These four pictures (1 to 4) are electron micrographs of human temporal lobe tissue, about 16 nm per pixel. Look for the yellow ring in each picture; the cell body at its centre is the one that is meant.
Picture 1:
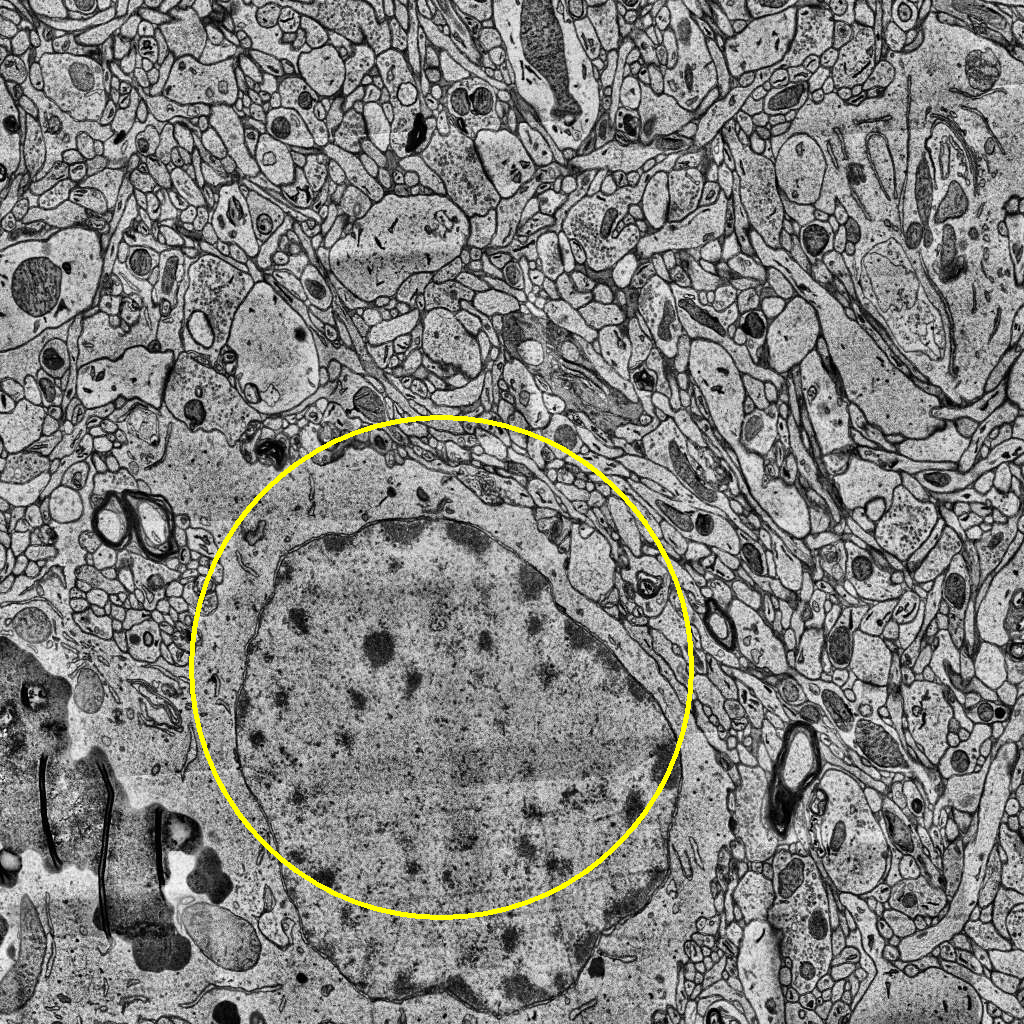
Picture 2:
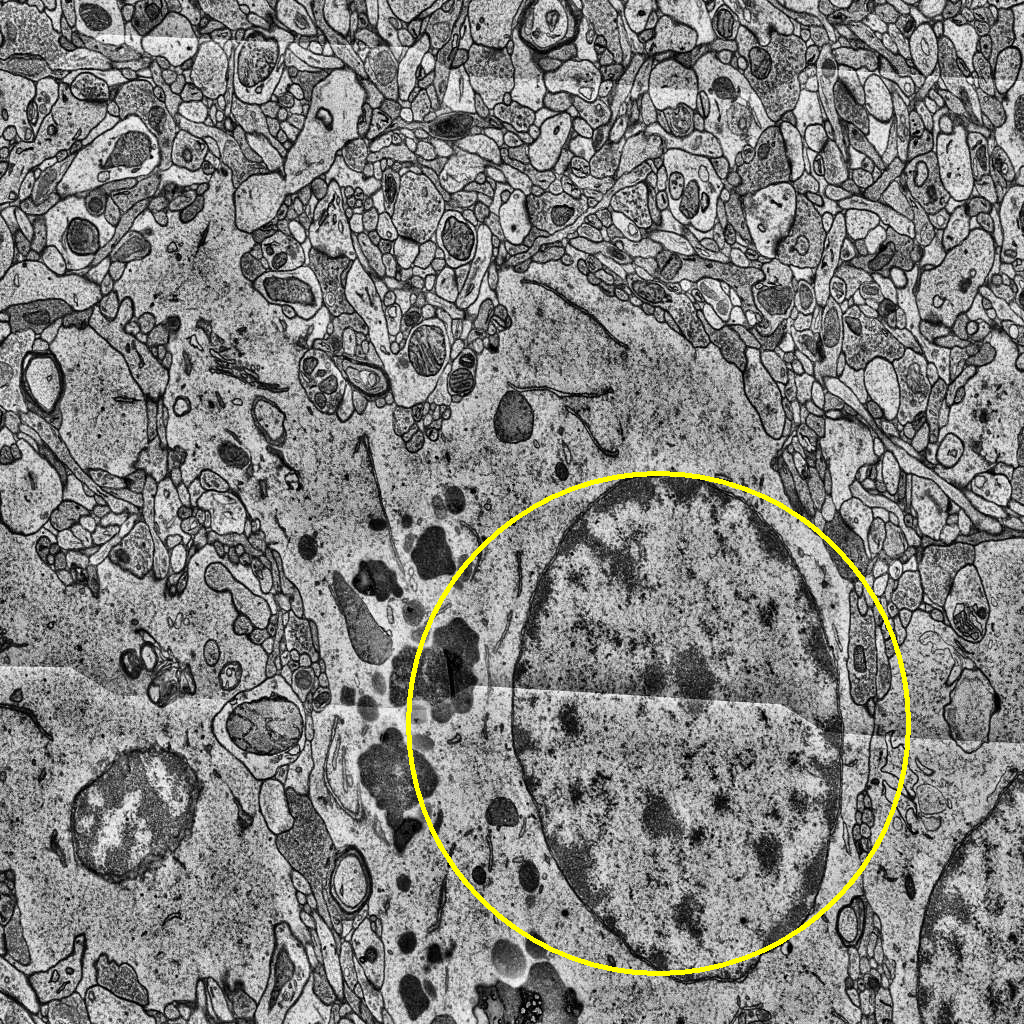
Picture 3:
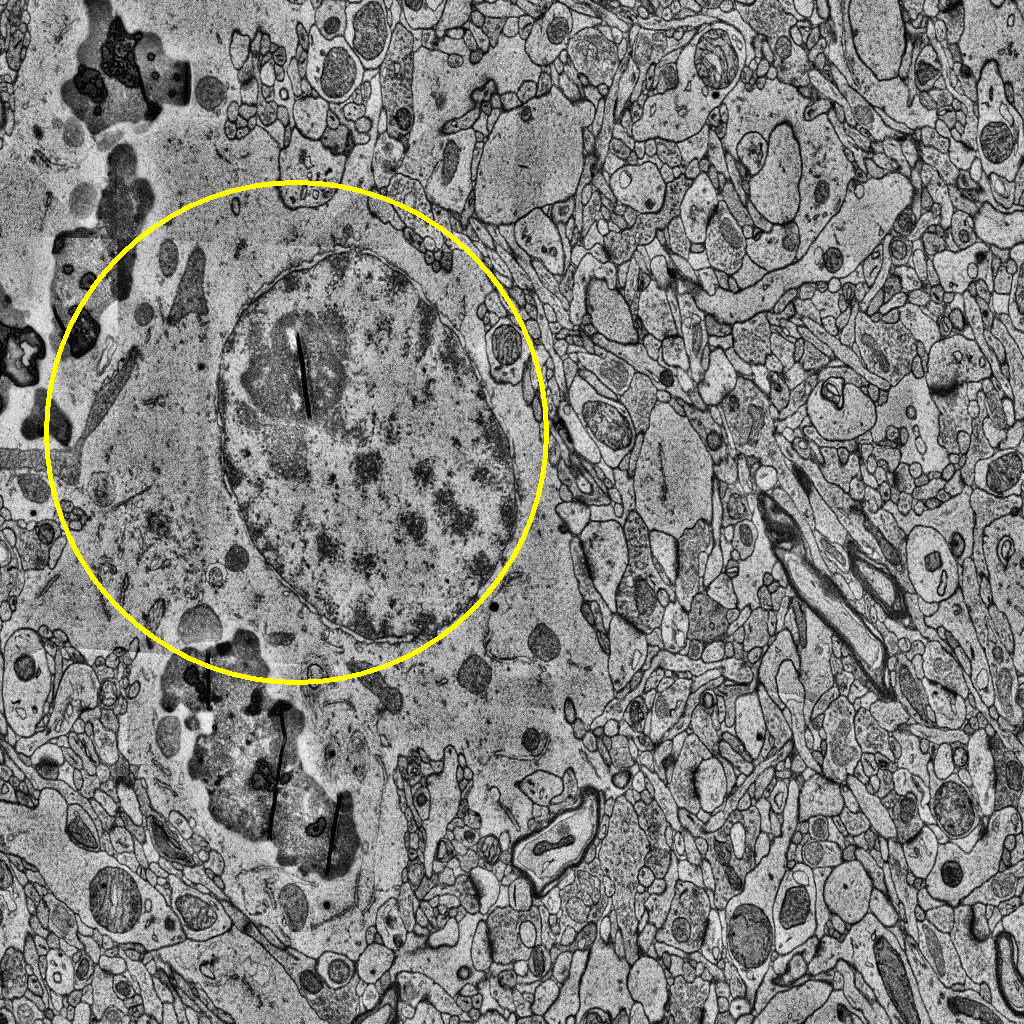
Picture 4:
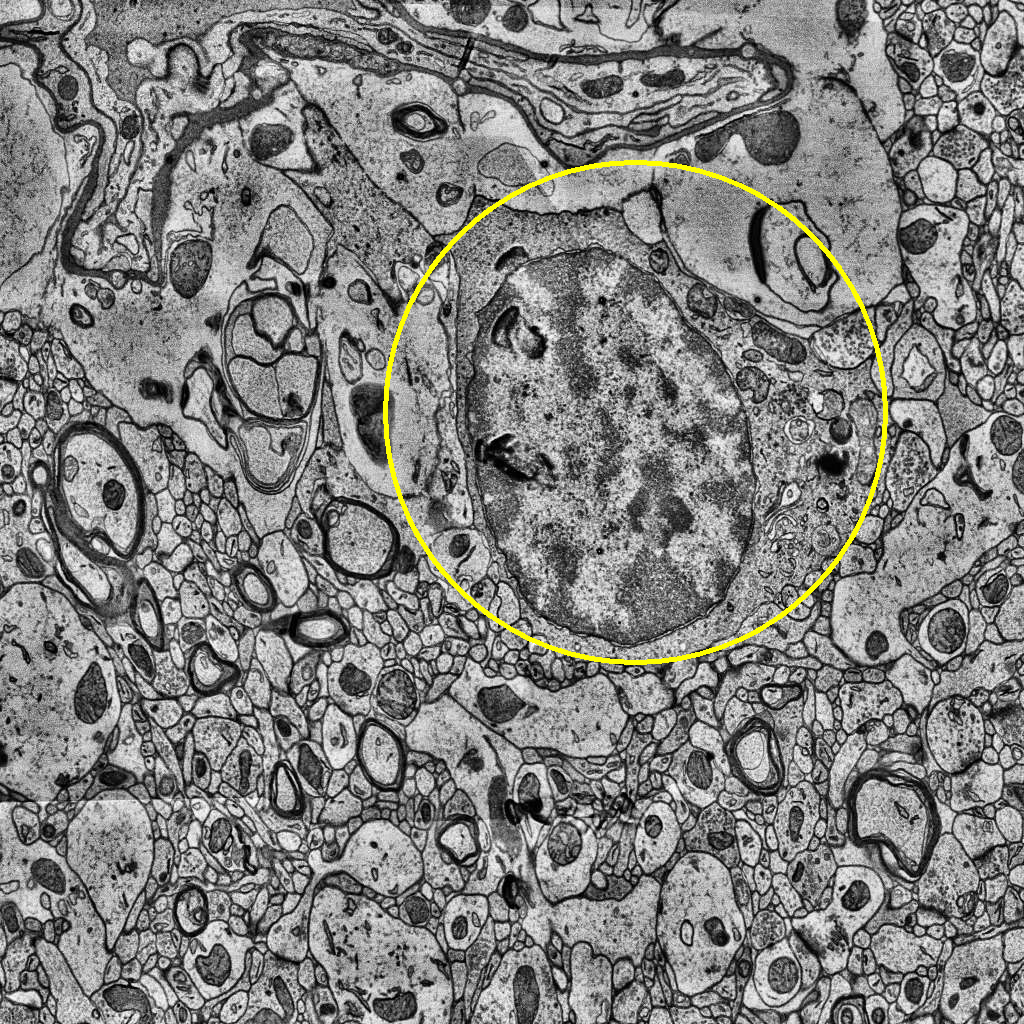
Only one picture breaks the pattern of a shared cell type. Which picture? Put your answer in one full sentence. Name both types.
Picture 4 differs, because its cell is an oligodendrocyte and the rest are astrocytes.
